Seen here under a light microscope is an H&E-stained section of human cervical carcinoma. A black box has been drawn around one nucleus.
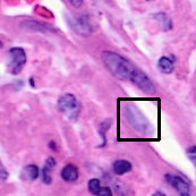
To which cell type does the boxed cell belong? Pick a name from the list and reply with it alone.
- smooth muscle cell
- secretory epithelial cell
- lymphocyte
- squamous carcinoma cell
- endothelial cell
endothelial cell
